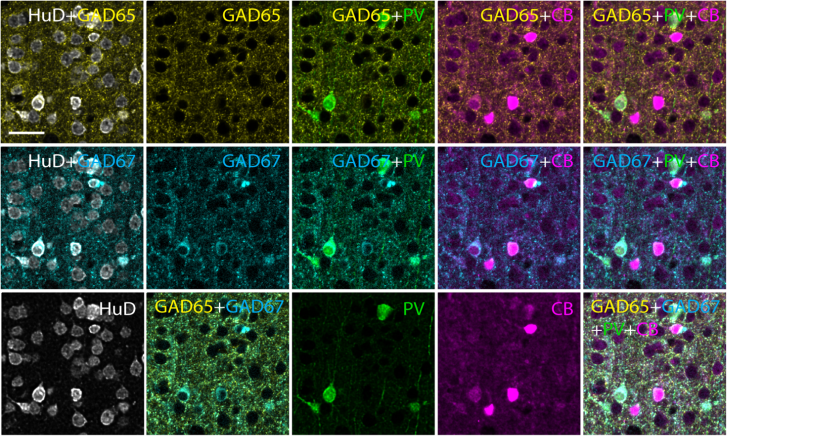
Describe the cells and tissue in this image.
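In white, many rounded and pyramidal-looking somata fill the field, each with a darker nucleus and a brighter rim of cytoplasm. Between them the neuropil is filled with fine yellow and cyan puncta, outlining dark unlabeled holes where other cell bodies lie. Only a handful of somata are brightly filled in green or magenta; these bright cells are scattered rather than clustered, and several of them also carry cyan labeling in the overlays.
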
